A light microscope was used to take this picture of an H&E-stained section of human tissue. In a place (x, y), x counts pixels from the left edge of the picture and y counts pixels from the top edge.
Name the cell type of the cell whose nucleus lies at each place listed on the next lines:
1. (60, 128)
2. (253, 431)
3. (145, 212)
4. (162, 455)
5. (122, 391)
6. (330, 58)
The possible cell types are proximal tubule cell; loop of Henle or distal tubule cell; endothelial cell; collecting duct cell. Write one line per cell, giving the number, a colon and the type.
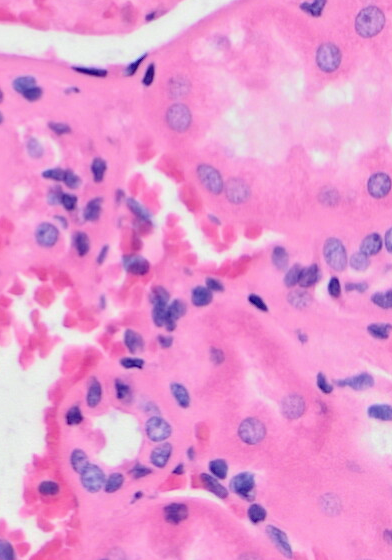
1: loop of Henle or distal tubule cell
2: proximal tubule cell
3: endothelial cell
4: collecting duct cell
5: collecting duct cell
6: proximal tubule cell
